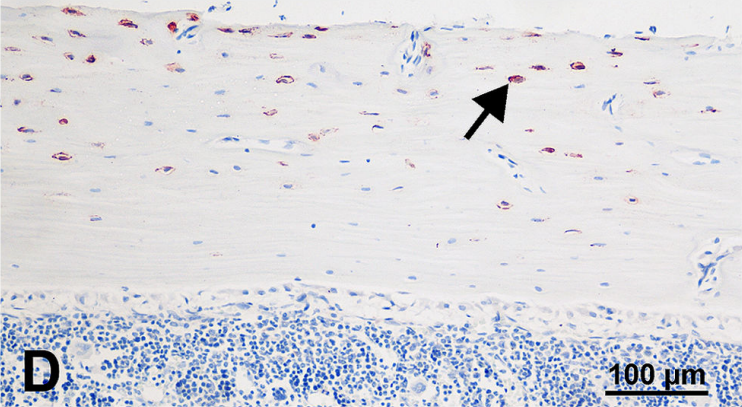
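This is a band of dense bone in which small flattened osteocytes sit singly within the pale matrix, their long axes running along the layers of the bone. Many of them, especially toward the upper surface, carry red staining around blue nuclei, while others show only blue nuclei. Beneath the bone lies a dense sheet of small, closely packed blue nuclei.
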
